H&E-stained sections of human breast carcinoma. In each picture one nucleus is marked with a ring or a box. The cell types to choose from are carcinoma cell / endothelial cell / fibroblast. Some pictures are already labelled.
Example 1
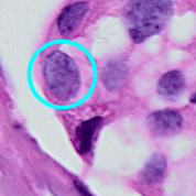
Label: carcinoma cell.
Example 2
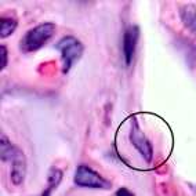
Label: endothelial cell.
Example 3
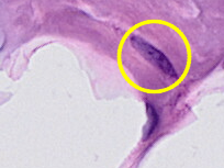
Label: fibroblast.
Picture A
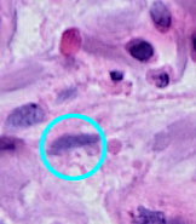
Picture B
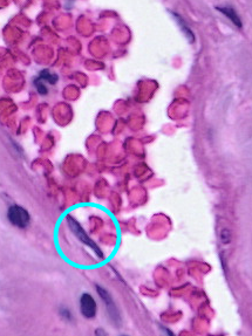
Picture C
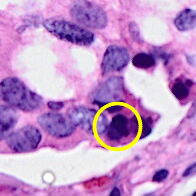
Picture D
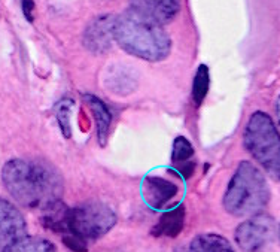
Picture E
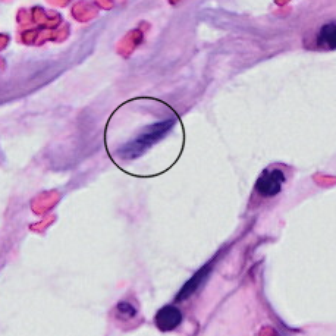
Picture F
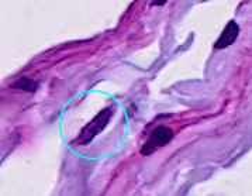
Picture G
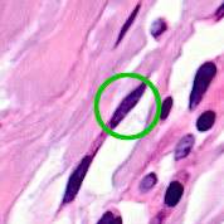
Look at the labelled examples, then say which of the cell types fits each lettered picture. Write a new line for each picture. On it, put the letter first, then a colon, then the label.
A: fibroblast.
B: endothelial cell.
C: carcinoma cell.
D: carcinoma cell.
E: fibroblast.
F: fibroblast.
G: fibroblast.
